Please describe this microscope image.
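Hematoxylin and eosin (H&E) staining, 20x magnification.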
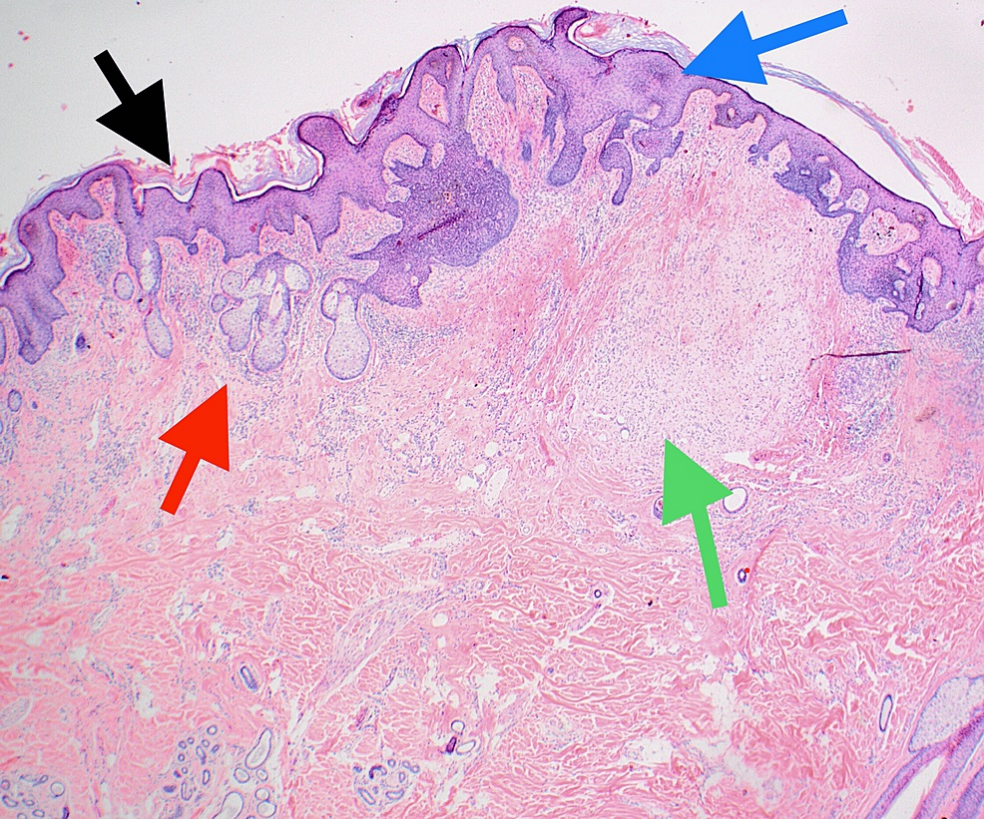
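This is a low-power section of skin in which the epidermis is thickened and thrown into irregular papillary folds, with broad purple squamous downgrowths into the dermis. Just beneath it on the left, several pale, rounded glandular lobules sit high in the dermis and connect directly to the epidermis. Deeper down, the dermis is made of coarse pink collagen bundles, with small clusters of glandular ducts near the bottom left. The surface is covered by a thin, flaking layer of keratin.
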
